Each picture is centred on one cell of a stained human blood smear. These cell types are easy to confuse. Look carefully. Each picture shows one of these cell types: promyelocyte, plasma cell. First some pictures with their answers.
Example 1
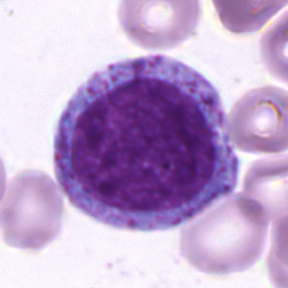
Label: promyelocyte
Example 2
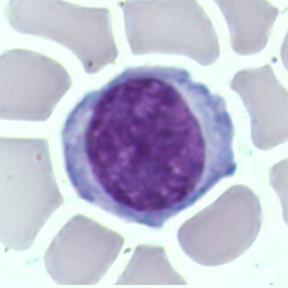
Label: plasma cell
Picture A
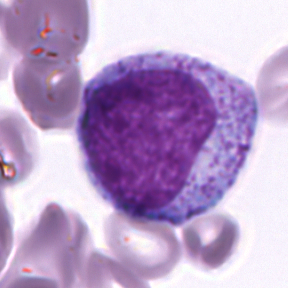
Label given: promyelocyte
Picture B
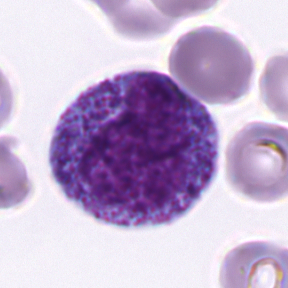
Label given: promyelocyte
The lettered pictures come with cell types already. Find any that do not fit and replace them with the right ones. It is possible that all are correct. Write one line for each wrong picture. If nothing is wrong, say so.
None of the labels needs changing.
